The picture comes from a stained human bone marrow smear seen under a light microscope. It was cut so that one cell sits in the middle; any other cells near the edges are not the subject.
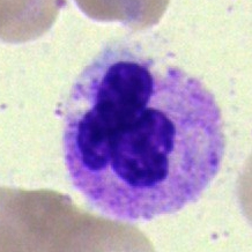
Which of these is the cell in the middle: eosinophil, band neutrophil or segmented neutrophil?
segmented neutrophil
